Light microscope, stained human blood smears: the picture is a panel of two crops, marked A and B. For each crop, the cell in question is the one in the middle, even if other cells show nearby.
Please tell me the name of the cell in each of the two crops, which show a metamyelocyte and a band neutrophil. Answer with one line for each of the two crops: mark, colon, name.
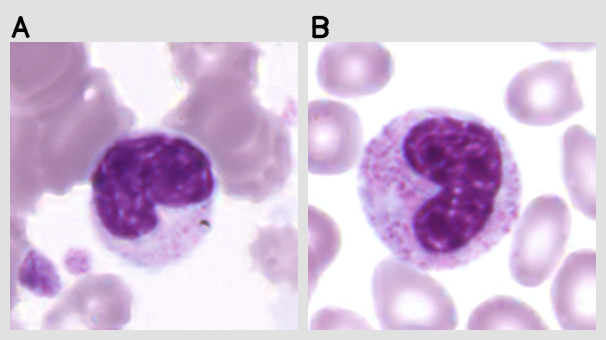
A: metamyelocyte
B: band neutrophil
